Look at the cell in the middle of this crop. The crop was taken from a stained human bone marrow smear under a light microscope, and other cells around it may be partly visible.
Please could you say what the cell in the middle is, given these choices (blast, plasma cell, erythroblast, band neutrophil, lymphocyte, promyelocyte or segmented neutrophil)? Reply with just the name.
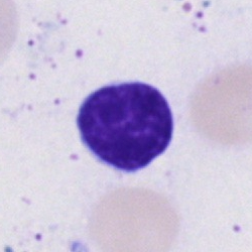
lymphocyte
